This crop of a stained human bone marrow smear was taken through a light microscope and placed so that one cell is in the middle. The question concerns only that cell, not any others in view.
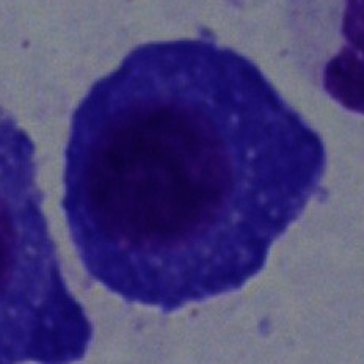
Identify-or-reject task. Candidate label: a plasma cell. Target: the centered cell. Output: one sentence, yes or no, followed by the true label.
Yes, a plasma cell is present in the middle of the crop.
